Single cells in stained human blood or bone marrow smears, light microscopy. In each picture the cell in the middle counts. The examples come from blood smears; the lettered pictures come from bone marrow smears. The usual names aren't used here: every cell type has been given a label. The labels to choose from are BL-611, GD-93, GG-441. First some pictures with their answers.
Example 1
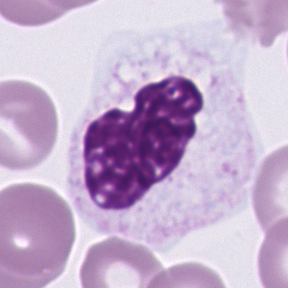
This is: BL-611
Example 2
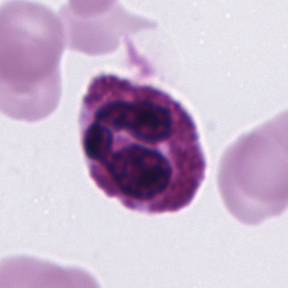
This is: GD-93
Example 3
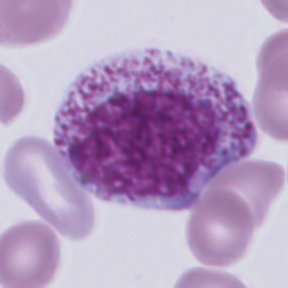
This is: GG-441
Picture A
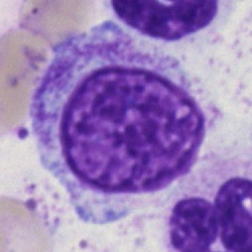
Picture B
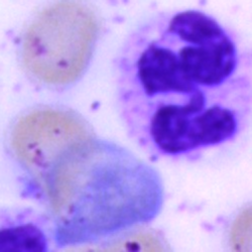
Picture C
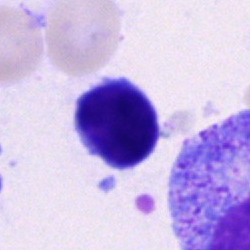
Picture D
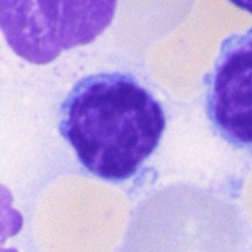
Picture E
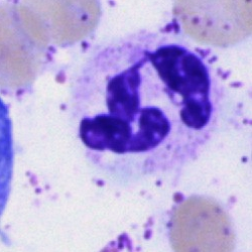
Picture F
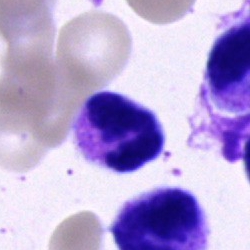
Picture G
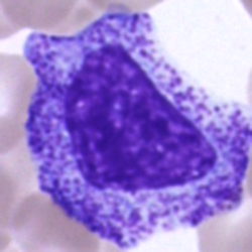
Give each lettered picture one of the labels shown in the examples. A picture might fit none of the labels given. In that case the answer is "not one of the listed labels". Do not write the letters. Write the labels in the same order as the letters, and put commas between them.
GG-441, BL-611, not one of the listed labels, not one of the listed labels, BL-611, BL-611, GG-441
